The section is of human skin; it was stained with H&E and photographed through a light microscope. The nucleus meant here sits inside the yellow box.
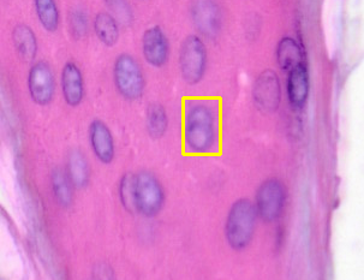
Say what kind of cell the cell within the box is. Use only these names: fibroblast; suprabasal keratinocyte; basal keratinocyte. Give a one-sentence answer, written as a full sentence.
Histopathologically, the cell within the box is a suprabasal keratinocyte.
